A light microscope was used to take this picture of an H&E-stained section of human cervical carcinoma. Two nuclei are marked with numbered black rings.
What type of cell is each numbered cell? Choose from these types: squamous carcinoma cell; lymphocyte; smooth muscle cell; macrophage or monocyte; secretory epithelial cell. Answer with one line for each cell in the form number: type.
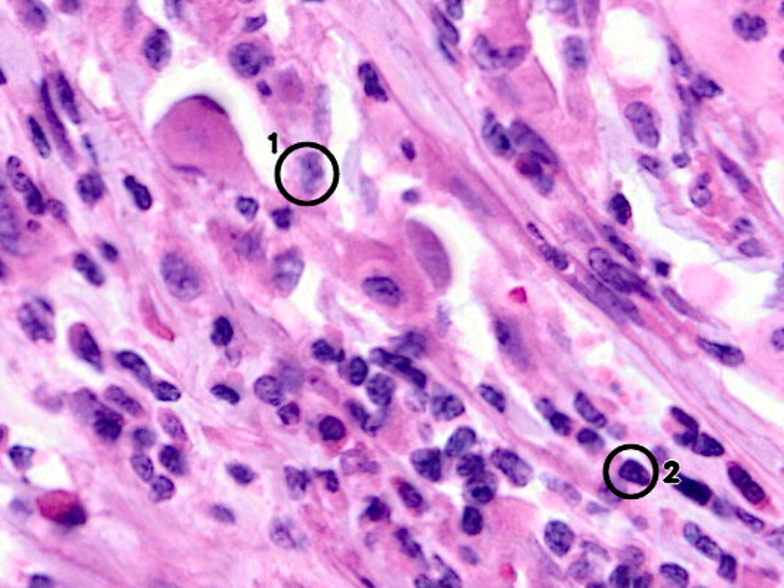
1: macrophage or monocyte
2: lymphocyte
